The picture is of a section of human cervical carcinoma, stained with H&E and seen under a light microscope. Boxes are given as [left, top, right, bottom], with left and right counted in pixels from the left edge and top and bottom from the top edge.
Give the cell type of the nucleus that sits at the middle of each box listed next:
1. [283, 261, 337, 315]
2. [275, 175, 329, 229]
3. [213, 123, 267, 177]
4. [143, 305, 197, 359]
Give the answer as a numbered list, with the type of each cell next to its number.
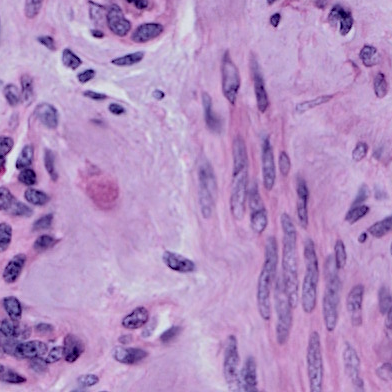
1. smooth muscle cell
2. smooth muscle cell
3. smooth muscle cell
4. endothelial cell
